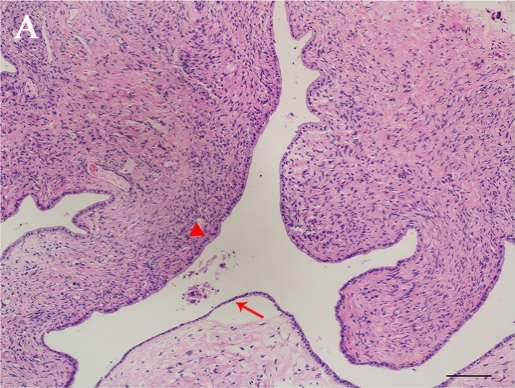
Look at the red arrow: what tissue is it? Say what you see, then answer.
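Cuboidal epithelium. A thin single-cell lining covers the wall of a cyst space. The lining is low, much thinner than the stroma beneath it.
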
